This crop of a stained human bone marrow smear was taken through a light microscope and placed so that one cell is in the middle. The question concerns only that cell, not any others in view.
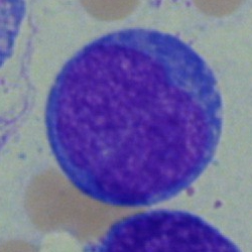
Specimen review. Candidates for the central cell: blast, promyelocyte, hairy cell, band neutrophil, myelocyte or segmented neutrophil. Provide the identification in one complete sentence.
The cell positioned in the middle of the field is a blast.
